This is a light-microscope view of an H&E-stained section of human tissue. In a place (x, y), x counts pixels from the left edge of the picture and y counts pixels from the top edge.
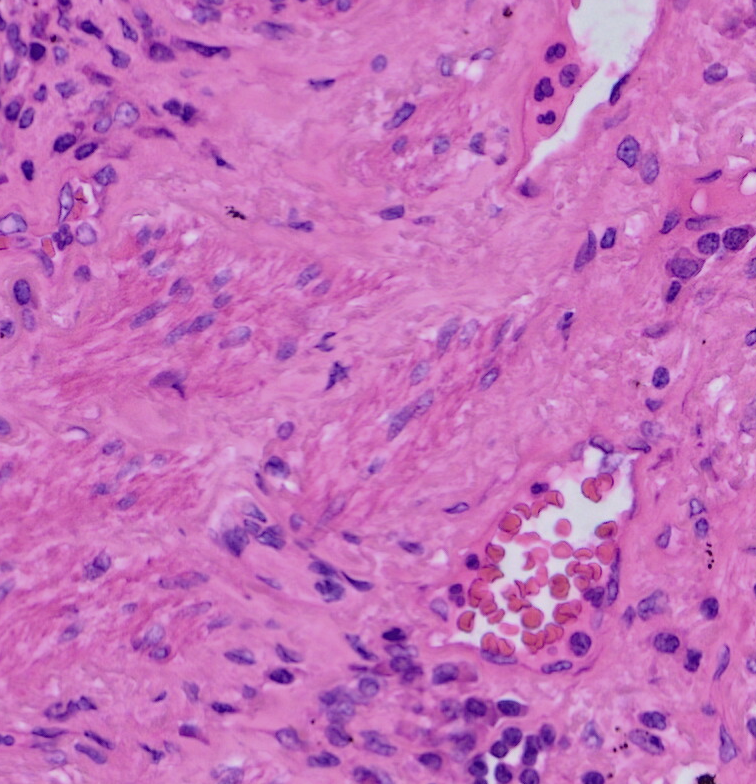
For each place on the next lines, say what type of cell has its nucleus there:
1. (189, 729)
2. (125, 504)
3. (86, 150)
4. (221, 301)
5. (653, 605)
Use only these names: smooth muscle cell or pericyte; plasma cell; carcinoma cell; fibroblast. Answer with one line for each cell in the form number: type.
1: plasma cell
2: smooth muscle cell or pericyte
3: plasma cell
4: smooth muscle cell or pericyte
5: fibroblast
